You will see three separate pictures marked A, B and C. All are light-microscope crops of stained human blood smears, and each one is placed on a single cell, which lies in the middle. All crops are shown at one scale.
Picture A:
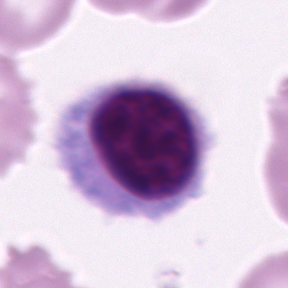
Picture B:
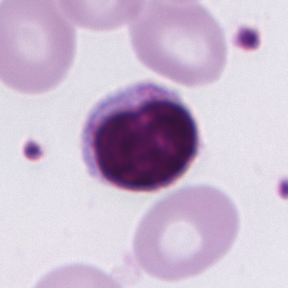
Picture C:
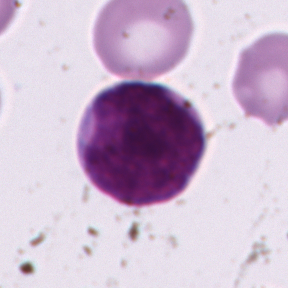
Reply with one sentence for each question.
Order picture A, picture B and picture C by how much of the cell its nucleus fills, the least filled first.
They run A, B, C, the least filled first.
